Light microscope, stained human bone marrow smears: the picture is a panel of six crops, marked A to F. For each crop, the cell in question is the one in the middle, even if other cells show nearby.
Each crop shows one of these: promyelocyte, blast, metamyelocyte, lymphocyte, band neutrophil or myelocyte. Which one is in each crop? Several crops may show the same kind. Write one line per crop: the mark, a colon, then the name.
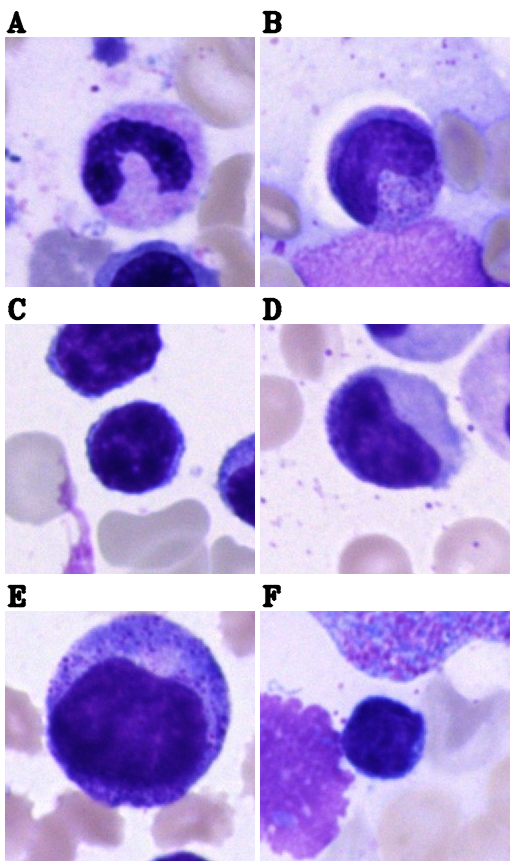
A: band neutrophil
B: metamyelocyte
C: lymphocyte
D: metamyelocyte
E: promyelocyte
F: lymphocyte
